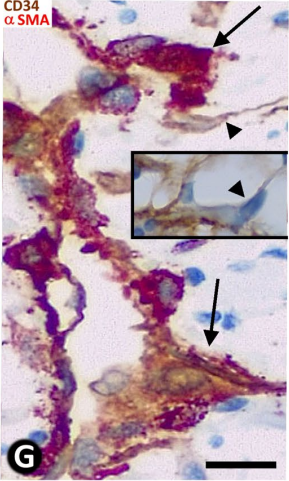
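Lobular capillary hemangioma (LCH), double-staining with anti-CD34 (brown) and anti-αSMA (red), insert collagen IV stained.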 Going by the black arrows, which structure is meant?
Sprouts.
